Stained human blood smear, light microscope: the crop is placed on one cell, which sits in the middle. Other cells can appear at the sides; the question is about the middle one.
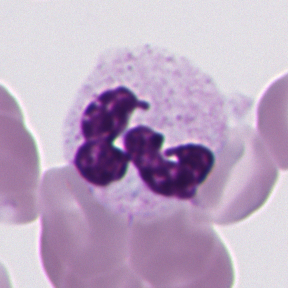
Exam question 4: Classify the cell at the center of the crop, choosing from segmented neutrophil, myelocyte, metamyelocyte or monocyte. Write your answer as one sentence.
The cell featured at the centre of this crop is a segmented neutrophil.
